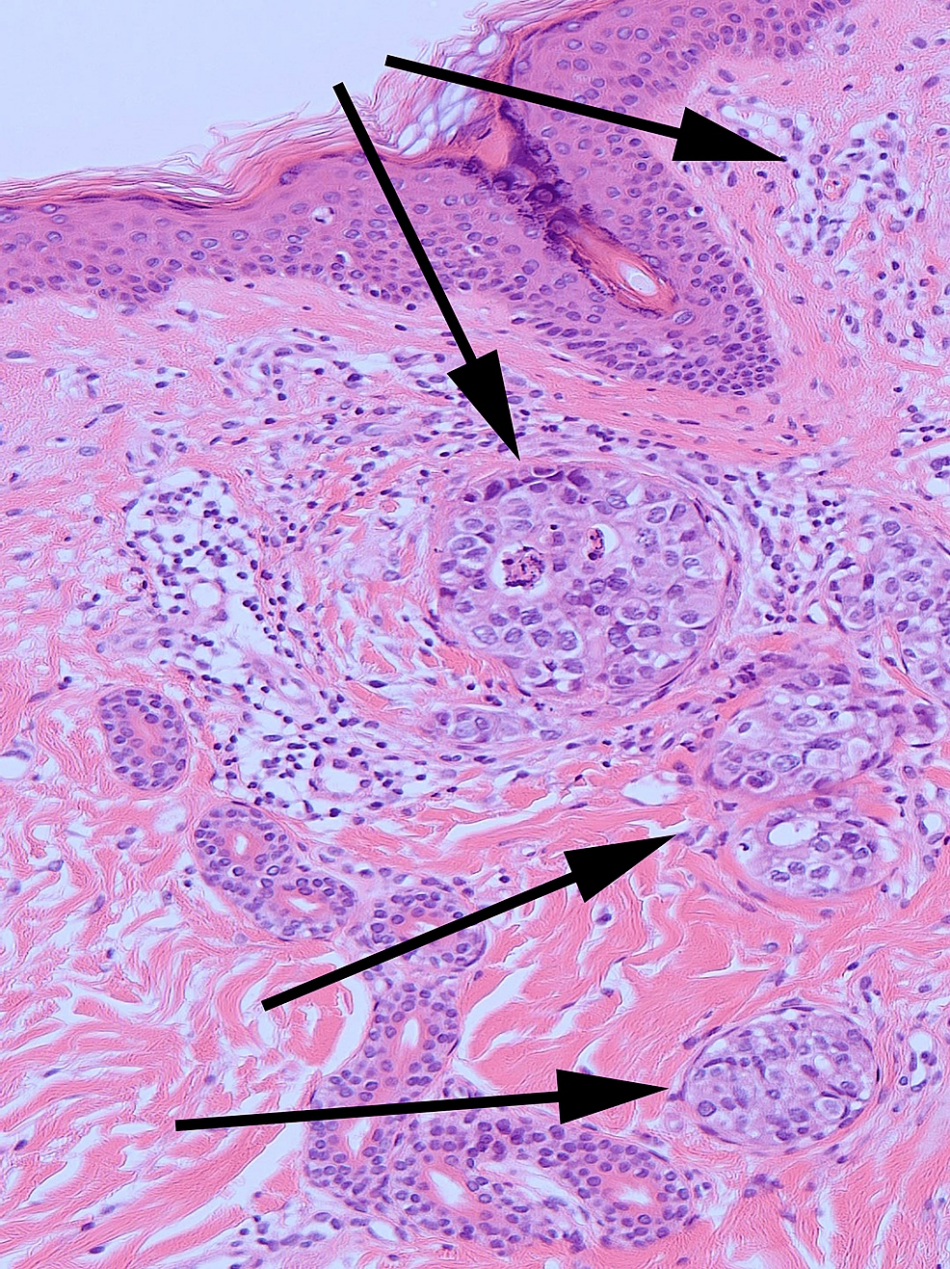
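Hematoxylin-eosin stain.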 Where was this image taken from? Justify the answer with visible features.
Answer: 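Stratified squamous epidermis with keratin at the top edge. Atypical cell clusters lie just beneath the epidermis in pink collagenous stroma. The answer: superficial dermis.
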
